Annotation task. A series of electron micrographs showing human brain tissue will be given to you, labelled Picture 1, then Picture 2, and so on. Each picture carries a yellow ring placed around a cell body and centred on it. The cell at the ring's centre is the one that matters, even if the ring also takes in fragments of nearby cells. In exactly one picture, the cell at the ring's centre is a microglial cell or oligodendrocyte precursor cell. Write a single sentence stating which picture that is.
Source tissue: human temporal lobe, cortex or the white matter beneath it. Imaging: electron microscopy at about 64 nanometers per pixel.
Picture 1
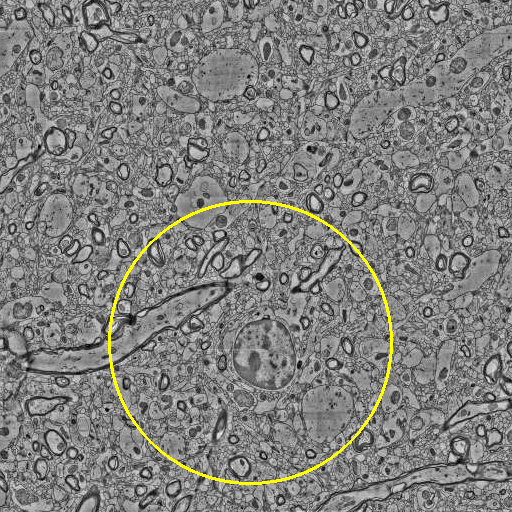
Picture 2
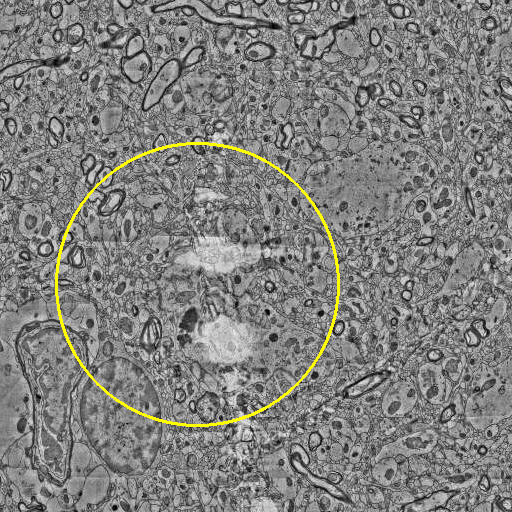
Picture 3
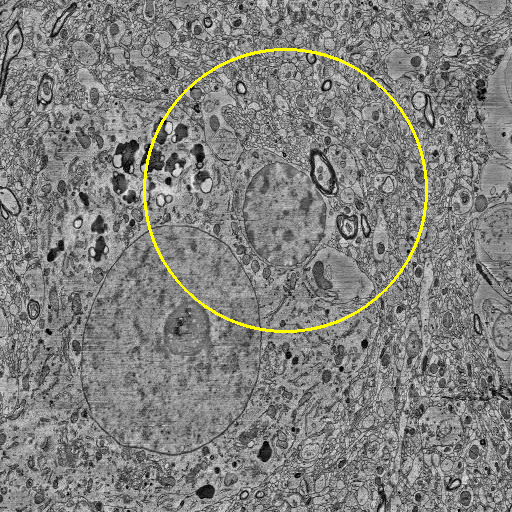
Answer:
Picture 1 holds the requested cell at the very centre of its ring.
